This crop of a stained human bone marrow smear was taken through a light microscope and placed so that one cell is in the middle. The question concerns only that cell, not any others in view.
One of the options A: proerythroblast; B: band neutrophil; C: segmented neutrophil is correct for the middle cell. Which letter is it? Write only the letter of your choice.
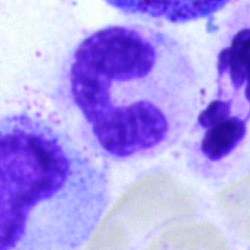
B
